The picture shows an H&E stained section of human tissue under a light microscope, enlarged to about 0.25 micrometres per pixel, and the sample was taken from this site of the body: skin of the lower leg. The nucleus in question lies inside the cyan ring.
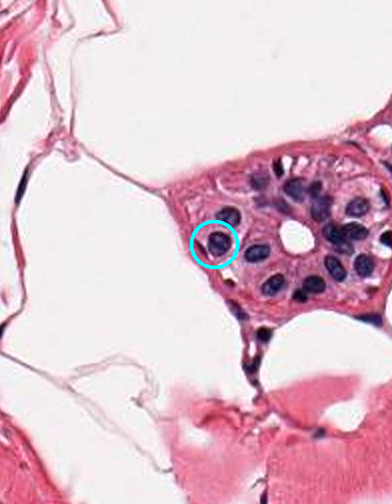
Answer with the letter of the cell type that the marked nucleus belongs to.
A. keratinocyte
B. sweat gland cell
B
